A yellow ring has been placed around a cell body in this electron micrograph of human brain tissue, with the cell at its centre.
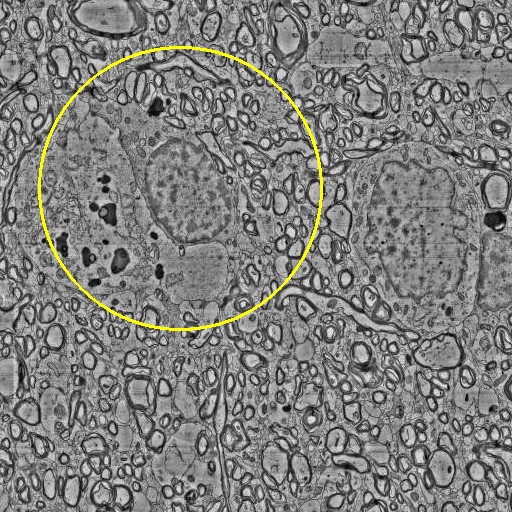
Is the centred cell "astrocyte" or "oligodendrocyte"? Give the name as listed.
oligodendrocyte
